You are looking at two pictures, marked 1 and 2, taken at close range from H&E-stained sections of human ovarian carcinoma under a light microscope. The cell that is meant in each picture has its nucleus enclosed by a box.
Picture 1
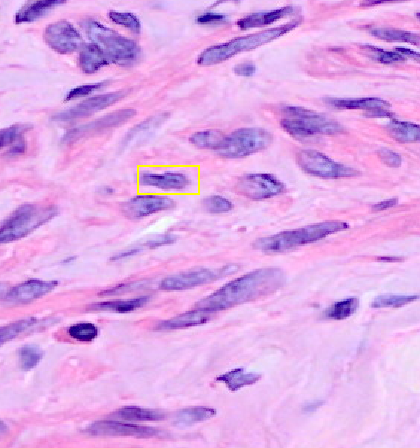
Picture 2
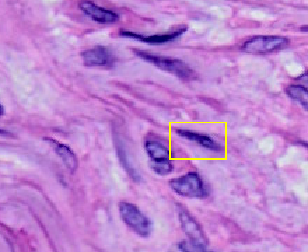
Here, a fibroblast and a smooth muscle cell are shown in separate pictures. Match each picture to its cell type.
1: smooth muscle cell
2: fibroblast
